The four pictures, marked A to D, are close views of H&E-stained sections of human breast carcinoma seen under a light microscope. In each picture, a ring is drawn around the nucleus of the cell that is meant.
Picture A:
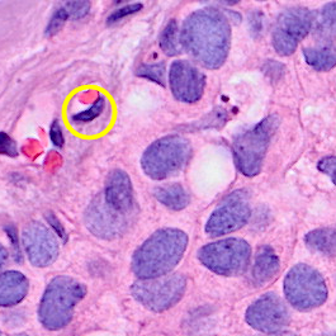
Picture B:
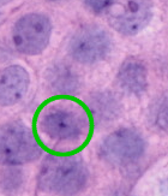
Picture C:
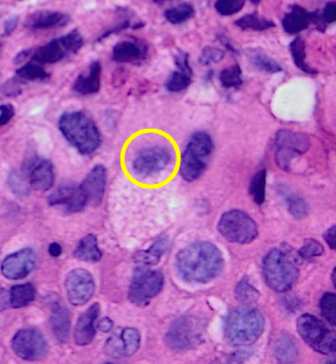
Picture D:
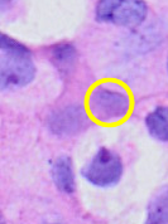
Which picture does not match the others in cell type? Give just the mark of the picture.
A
